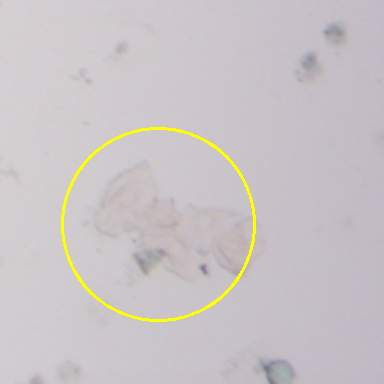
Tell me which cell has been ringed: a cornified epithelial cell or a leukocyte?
It is a cornified epithelial cell.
